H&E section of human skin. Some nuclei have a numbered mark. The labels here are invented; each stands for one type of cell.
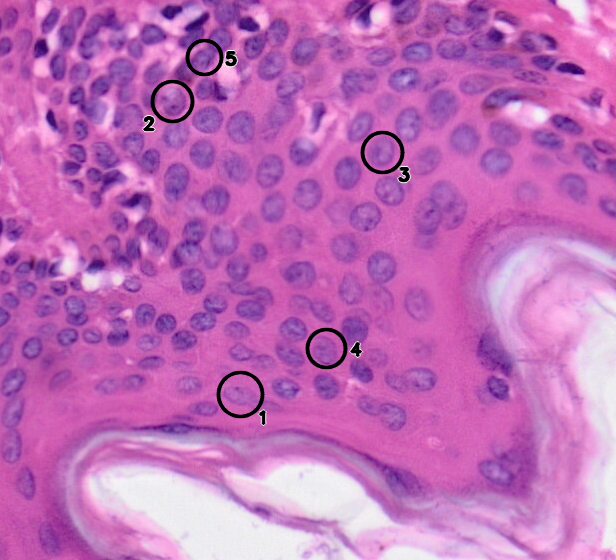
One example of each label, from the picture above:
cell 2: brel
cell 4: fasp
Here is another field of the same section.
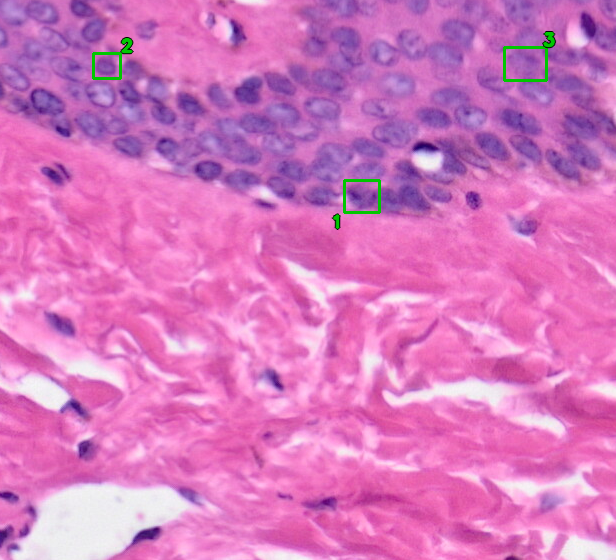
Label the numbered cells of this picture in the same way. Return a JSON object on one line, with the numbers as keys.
{"1": "brel", "2": "brel", "3": "fasp"}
